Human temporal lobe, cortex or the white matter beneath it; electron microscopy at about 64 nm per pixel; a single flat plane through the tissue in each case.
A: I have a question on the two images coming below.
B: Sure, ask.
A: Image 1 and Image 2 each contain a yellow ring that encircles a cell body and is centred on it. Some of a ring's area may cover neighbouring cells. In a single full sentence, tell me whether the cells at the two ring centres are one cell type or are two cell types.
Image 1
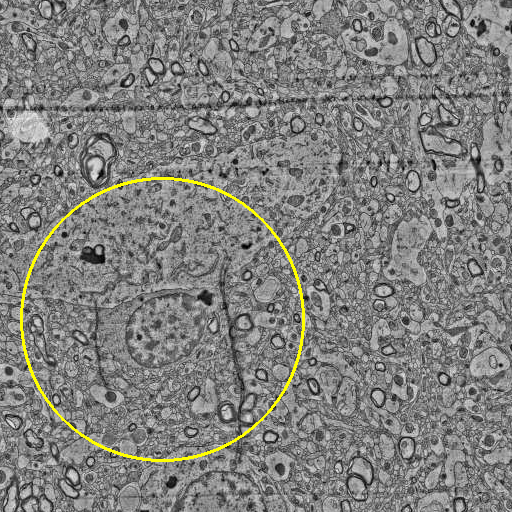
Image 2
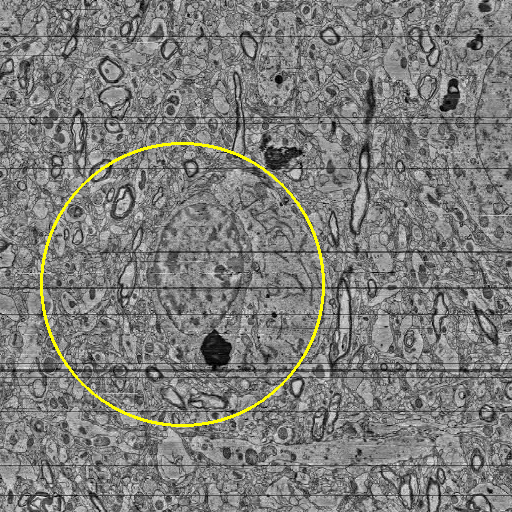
As for the ring-centre cells, the one in Image 1 and the one in Image 2 are one cell type.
